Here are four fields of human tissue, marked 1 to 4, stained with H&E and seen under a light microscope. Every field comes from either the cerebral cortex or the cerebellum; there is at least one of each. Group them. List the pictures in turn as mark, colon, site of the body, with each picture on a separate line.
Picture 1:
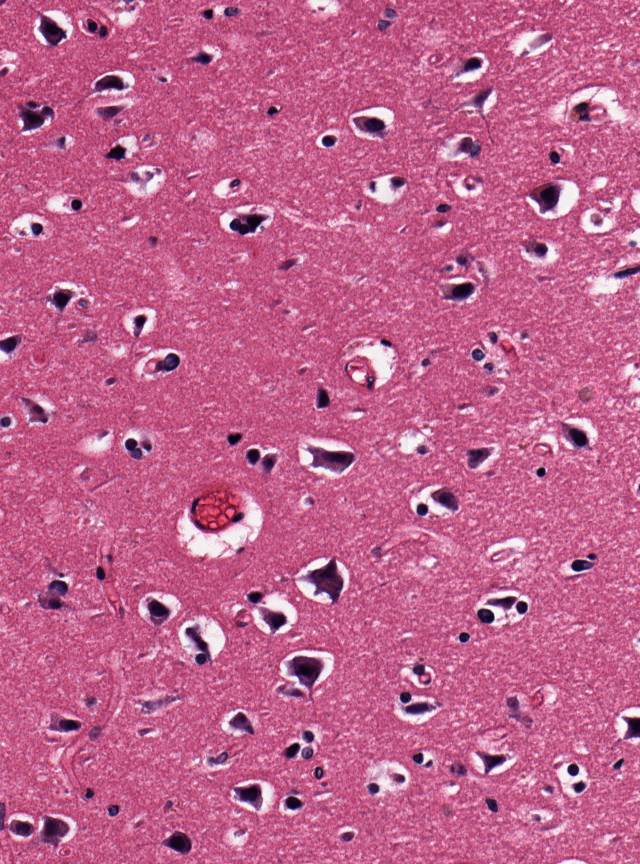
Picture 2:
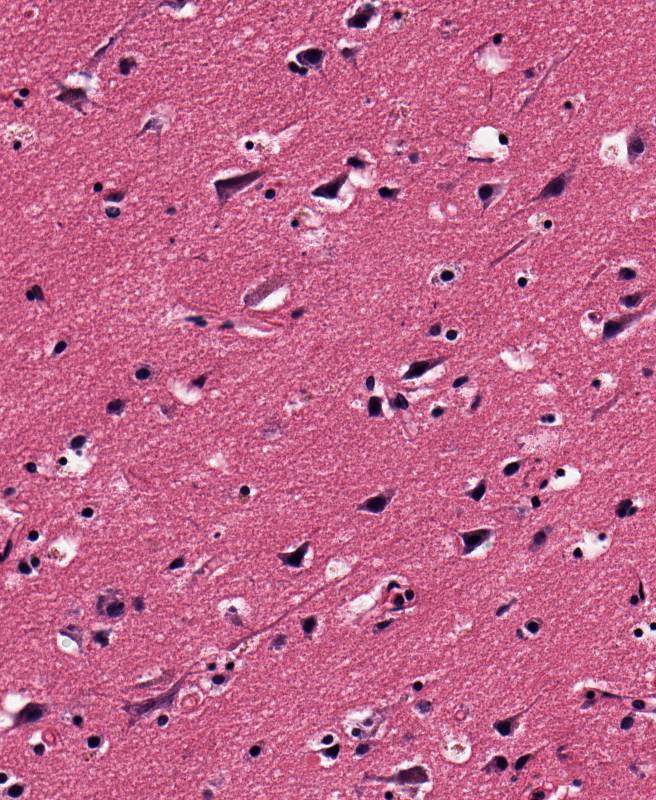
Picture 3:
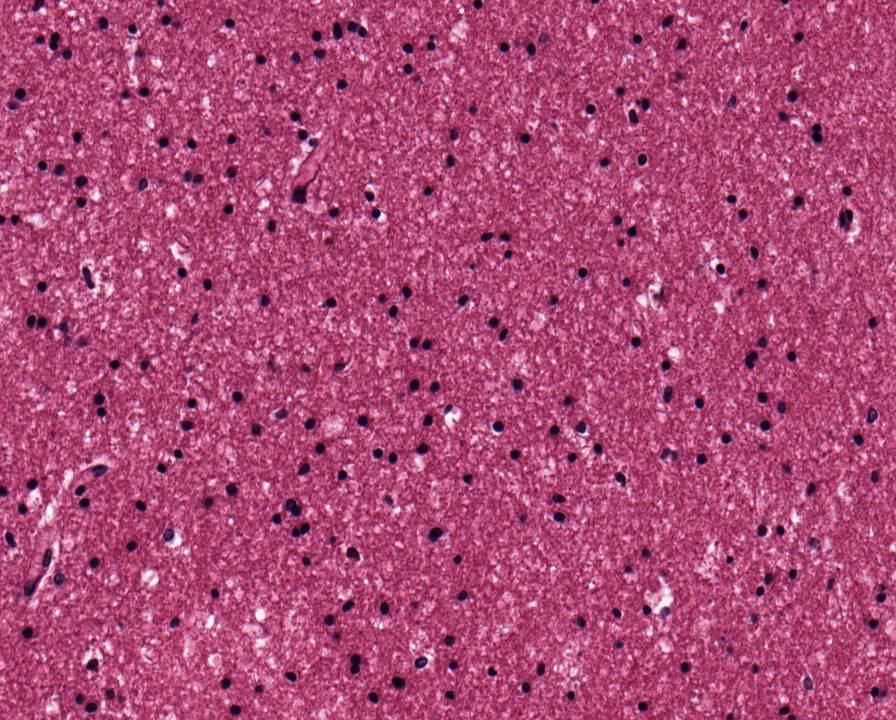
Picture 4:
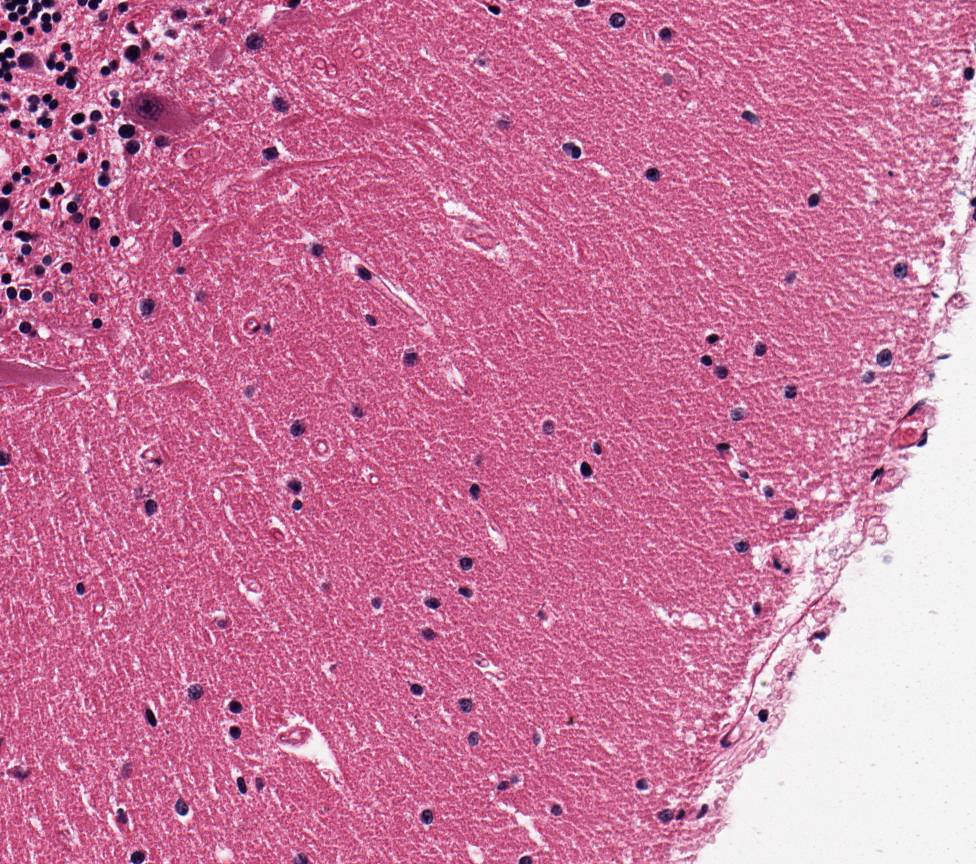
1: cerebral cortex
2: cerebral cortex
3: cerebral cortex
4: cerebellum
